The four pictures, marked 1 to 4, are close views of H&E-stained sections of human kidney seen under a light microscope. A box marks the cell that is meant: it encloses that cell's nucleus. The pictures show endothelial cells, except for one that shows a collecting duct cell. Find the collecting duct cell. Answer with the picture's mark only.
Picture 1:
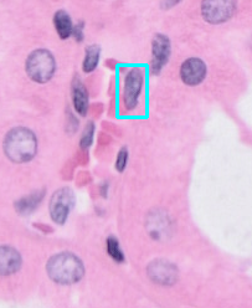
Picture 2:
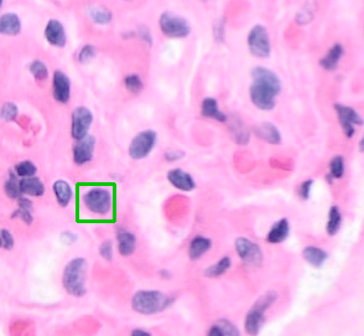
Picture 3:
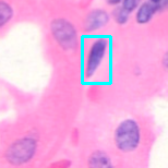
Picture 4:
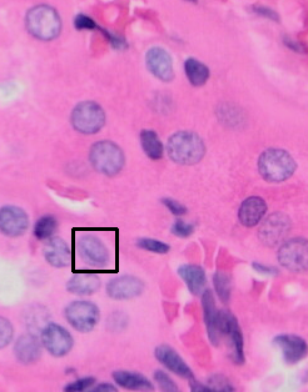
4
